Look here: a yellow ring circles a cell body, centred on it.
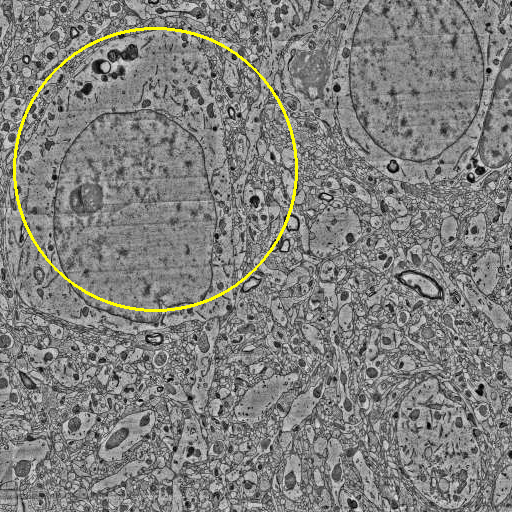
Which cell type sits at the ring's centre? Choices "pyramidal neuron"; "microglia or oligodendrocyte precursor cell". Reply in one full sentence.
The cell at the centre of the yellow ring in the picture is a pyramidal neuron.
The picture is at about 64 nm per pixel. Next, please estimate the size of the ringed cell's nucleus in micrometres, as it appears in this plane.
In this plane, the nucleus is roughly 14 by 11 micrometres.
